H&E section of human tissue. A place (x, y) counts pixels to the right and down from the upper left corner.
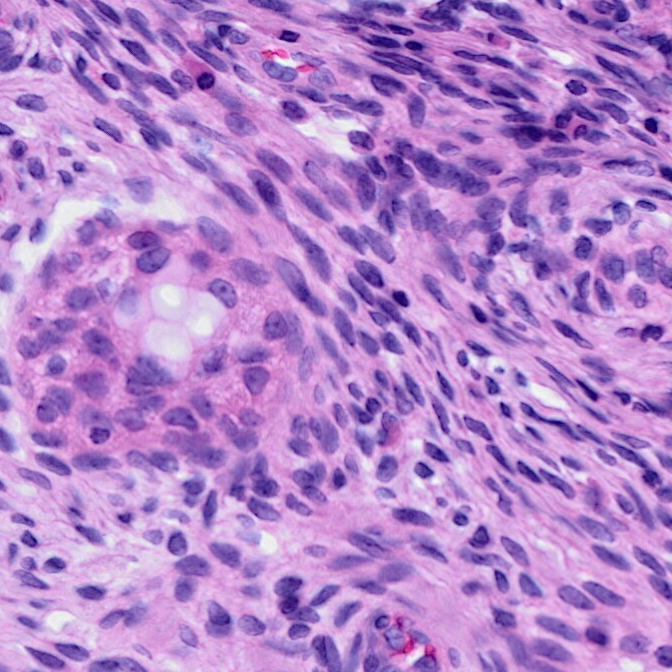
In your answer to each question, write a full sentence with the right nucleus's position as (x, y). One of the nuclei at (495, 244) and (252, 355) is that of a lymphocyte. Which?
The nucleus at (495, 244) is housed in a lymphocyte.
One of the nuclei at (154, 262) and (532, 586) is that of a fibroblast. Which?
It is the nucleus at (532, 586) that belongs to a fibroblast.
